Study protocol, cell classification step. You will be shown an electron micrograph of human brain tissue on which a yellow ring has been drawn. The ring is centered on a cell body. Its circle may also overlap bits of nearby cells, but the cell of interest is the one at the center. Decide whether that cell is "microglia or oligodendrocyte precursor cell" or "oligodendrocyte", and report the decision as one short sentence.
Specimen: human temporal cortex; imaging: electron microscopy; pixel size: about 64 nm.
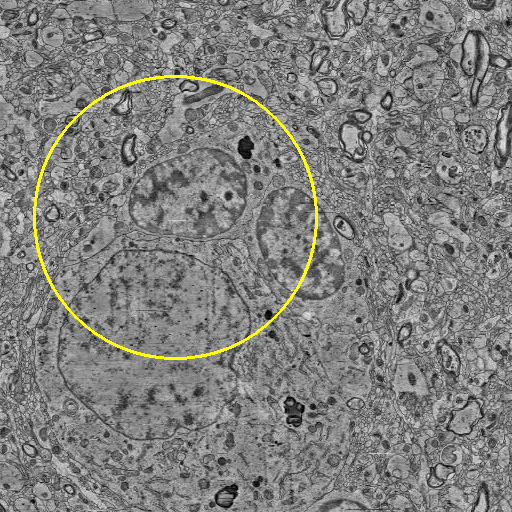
The marked cell is an oligodendrocyte.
